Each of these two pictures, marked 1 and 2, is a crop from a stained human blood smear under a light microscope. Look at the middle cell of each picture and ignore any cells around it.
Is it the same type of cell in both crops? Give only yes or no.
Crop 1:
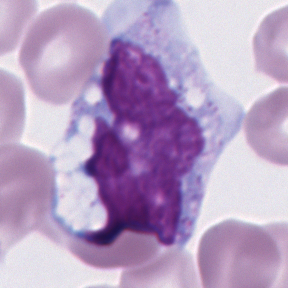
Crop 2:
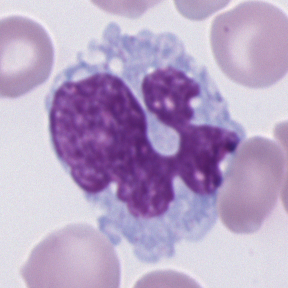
yes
